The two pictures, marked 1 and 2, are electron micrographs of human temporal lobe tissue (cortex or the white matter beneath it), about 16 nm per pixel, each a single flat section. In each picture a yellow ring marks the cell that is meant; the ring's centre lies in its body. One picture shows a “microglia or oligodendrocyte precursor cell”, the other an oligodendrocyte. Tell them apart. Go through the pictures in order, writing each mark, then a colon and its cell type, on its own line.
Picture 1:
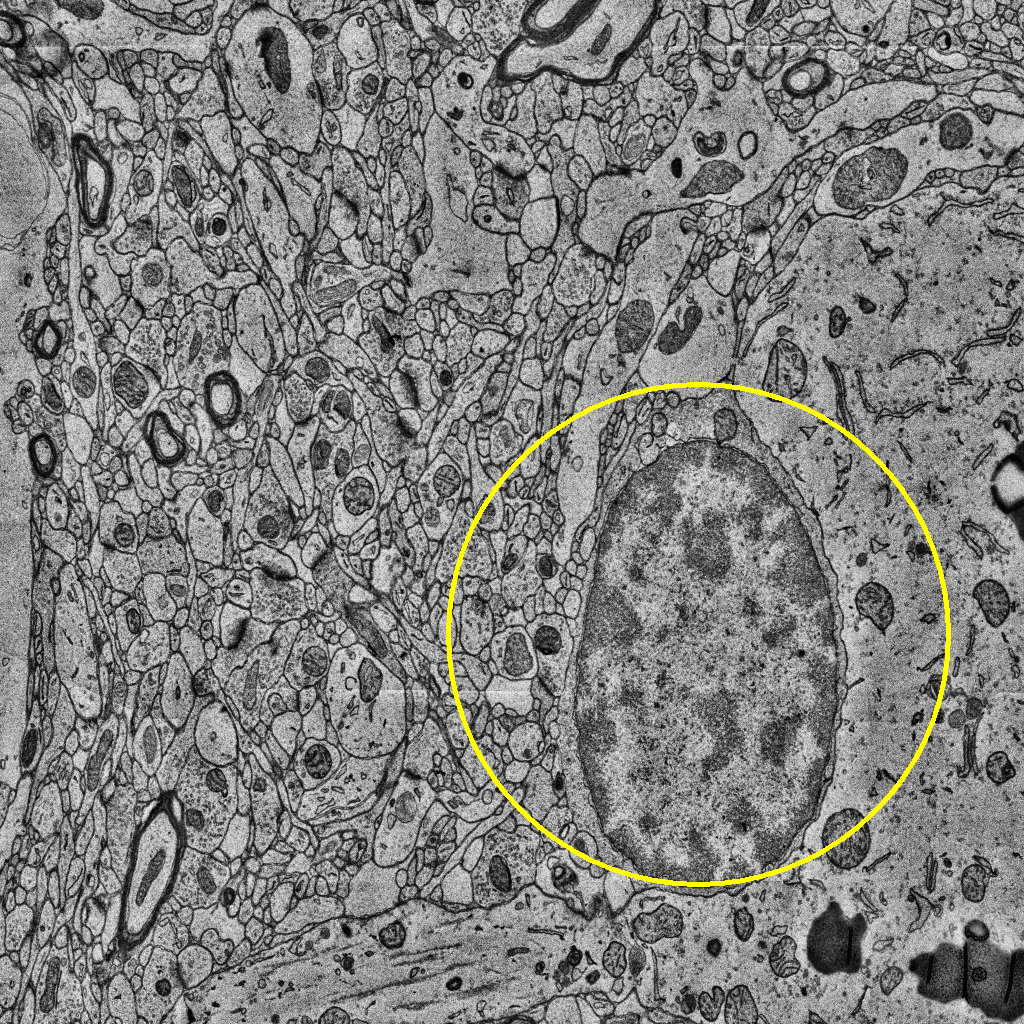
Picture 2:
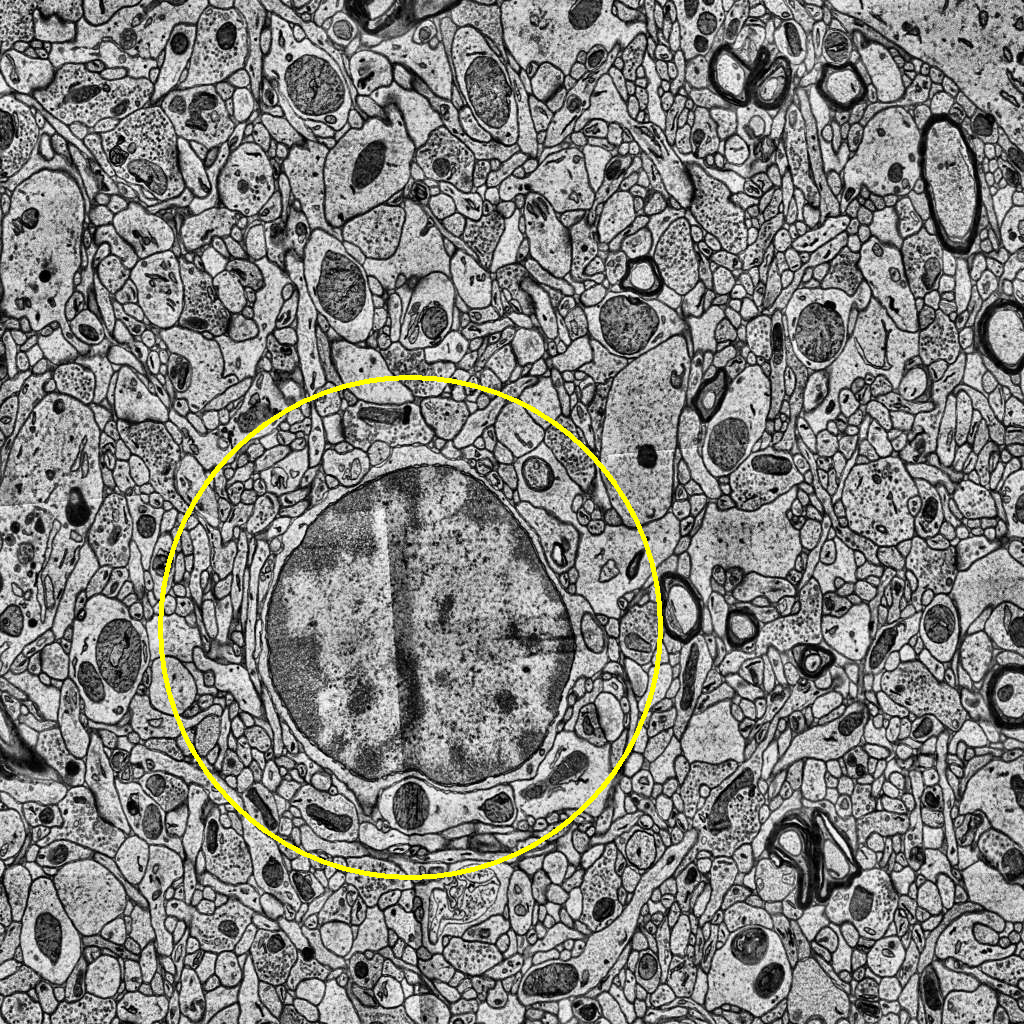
1: oligodendrocyte
2: microglia or oligodendrocyte precursor cell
